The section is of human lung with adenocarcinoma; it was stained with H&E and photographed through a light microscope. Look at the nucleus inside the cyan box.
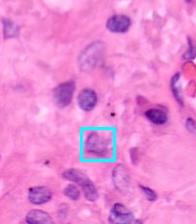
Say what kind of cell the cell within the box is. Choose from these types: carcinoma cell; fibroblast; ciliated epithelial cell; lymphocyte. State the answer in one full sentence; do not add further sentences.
It is as a fibroblast that the cell within the box is recorded.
